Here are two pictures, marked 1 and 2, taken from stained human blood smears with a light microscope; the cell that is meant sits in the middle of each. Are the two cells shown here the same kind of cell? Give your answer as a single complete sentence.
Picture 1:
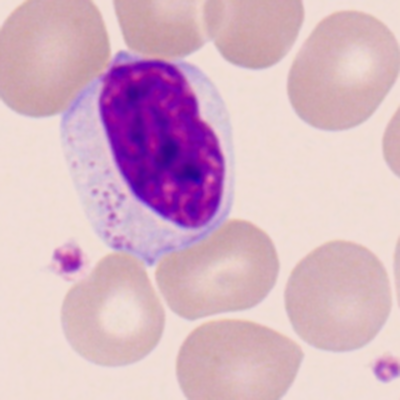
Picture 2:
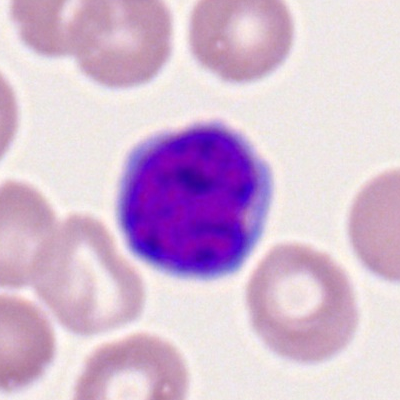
Yes, both are lymphocytes.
